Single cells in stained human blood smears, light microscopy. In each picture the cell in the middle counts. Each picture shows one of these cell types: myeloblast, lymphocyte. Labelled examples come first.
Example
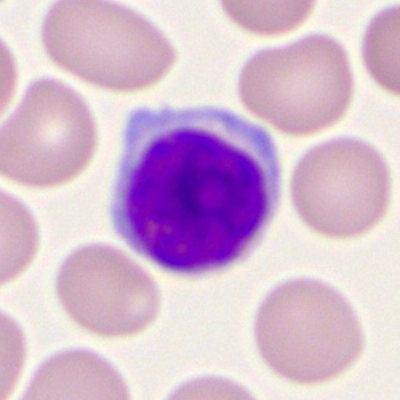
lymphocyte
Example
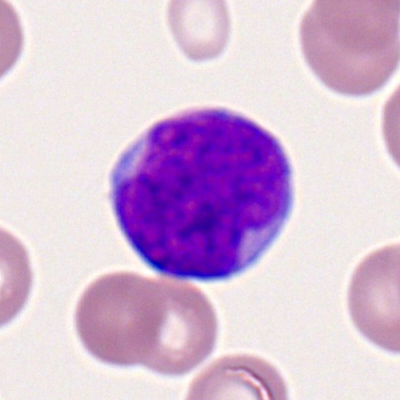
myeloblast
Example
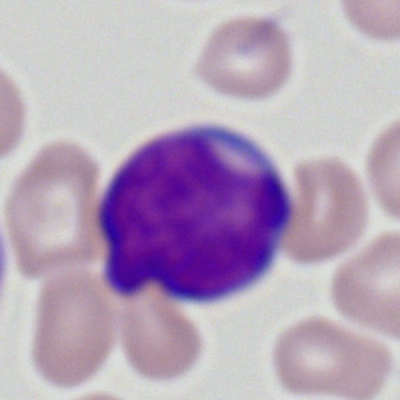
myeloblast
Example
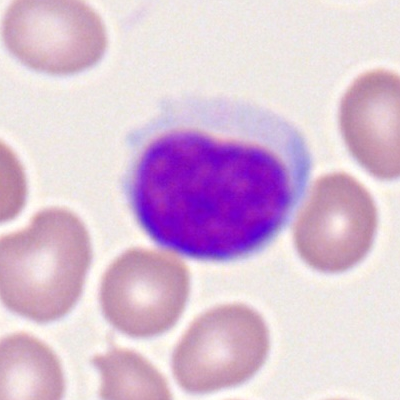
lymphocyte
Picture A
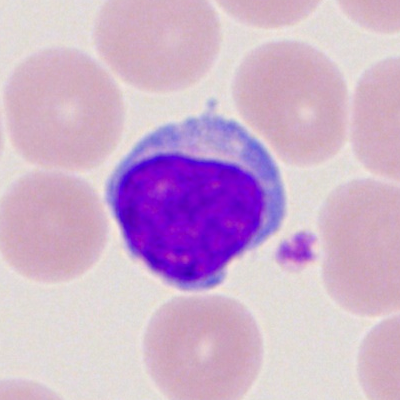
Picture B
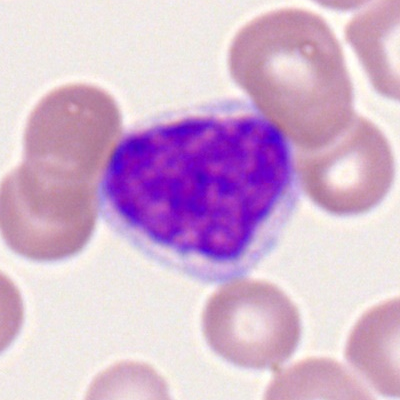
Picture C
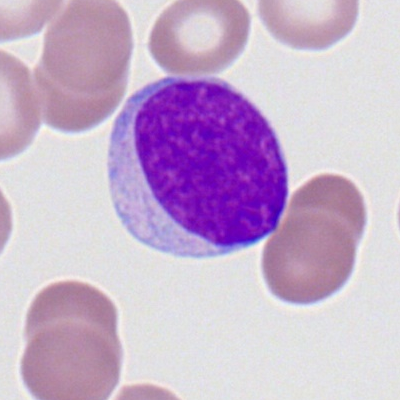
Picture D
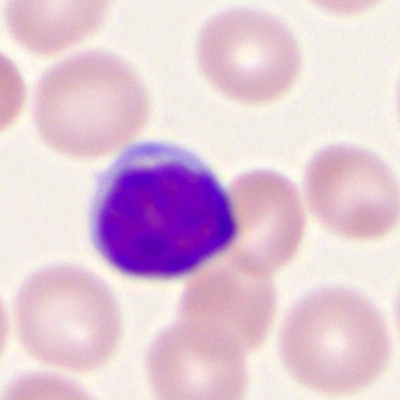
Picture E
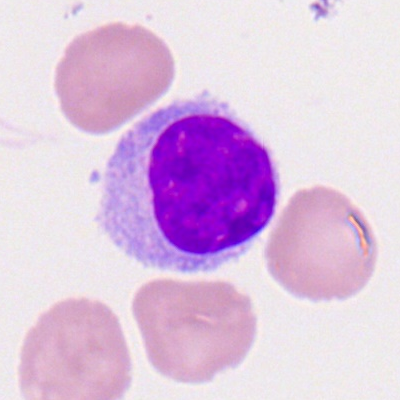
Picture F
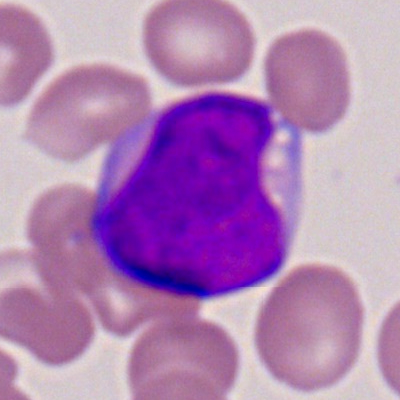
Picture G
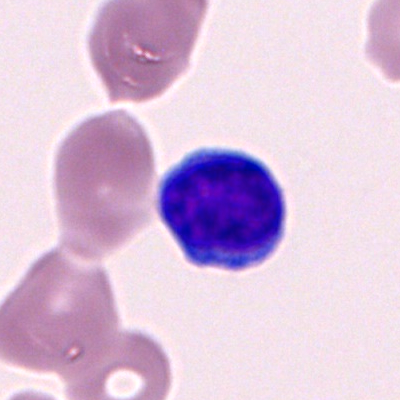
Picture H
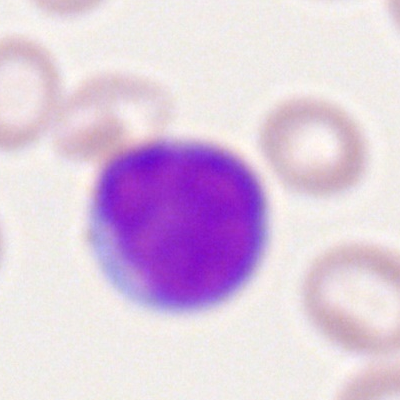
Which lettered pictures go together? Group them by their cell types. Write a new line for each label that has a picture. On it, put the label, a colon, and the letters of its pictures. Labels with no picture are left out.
myeloblast: C, F
lymphocyte: A, B, D, E, G, H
